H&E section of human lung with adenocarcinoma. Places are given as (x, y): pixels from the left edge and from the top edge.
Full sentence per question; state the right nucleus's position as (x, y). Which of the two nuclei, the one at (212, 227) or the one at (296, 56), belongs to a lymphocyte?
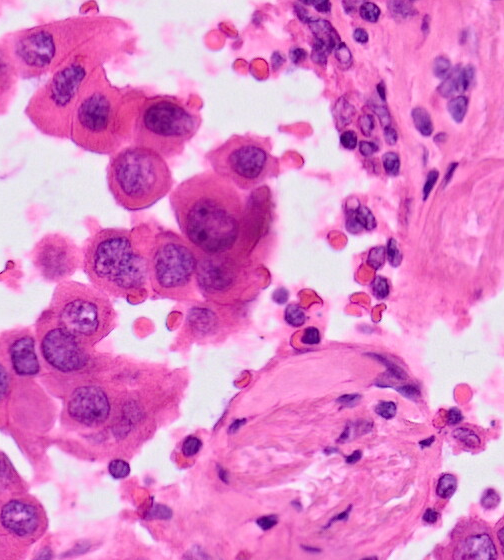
The nucleus that belongs to a lymphocyte sits at (296, 56).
